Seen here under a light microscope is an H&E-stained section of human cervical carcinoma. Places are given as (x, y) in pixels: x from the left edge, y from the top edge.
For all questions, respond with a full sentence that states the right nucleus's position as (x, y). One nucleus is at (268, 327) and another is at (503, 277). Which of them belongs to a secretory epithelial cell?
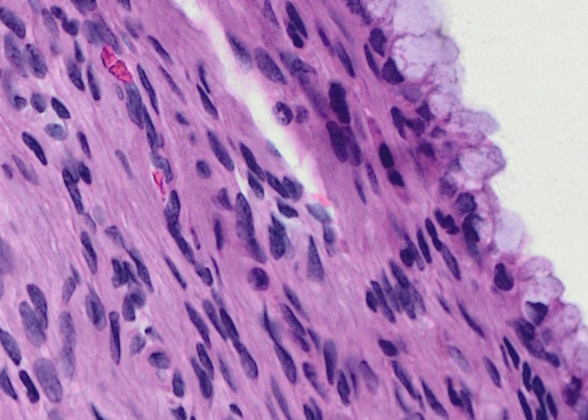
It is at (503, 277) that the nucleus of a secretory epithelial cell is found.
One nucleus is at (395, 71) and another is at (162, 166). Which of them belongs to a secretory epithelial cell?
The nucleus at position (395, 71) belongs to a secretory epithelial cell.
